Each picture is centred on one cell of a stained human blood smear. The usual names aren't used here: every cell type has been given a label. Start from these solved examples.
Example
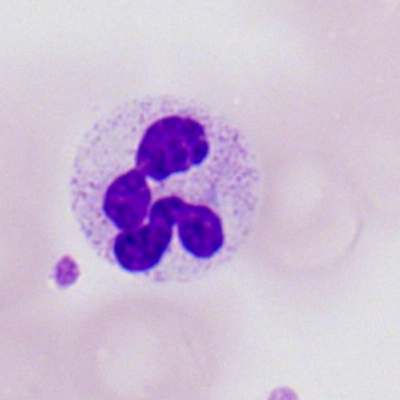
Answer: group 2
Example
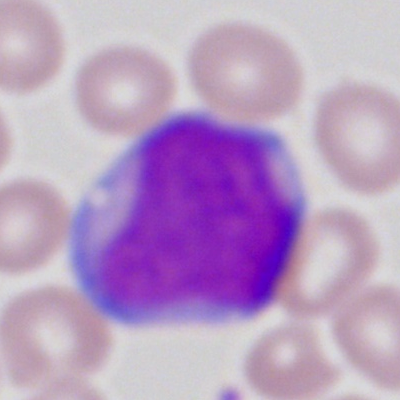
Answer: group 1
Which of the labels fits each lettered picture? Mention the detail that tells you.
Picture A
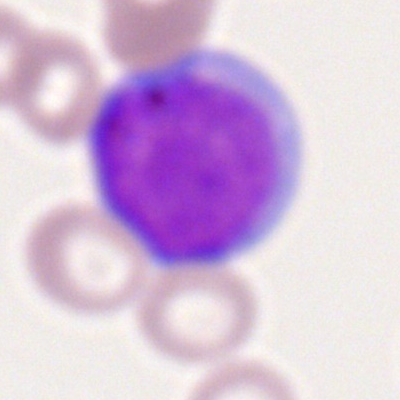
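Answer: group 1. The nucleus fills most of the cell.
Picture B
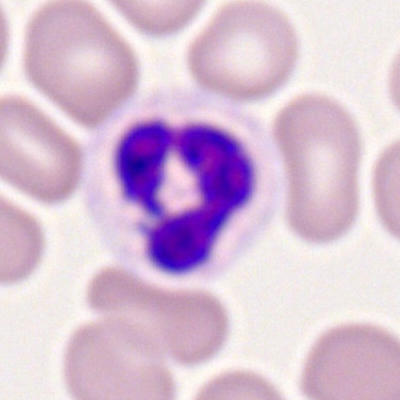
Answer: group 2. The nucleus is divided into three lobes.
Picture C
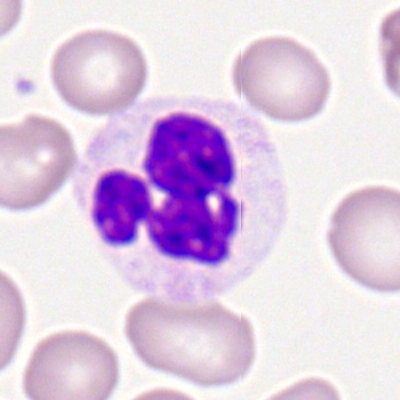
Answer: group 2. The cytoplasm is plentiful and pale pink.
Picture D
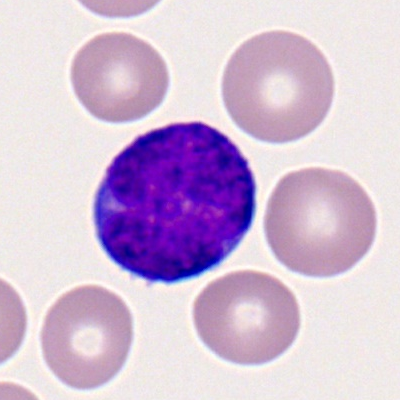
Answer: group 1. The nucleus fills almost the whole cell.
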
